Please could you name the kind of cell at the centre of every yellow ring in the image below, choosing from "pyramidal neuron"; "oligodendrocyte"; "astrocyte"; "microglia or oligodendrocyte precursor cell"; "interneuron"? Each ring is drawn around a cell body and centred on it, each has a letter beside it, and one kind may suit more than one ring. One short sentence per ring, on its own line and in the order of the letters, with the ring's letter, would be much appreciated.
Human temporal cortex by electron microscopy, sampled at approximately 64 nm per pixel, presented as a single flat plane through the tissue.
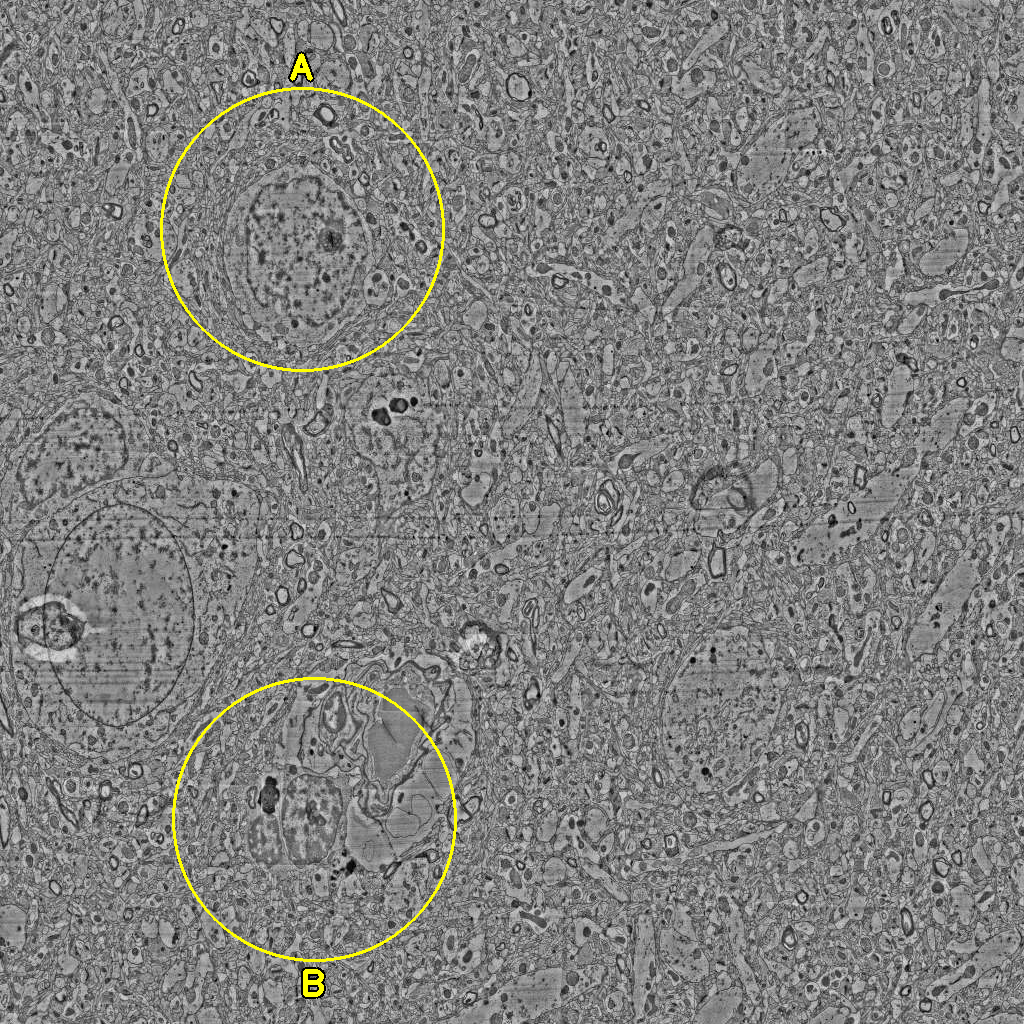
The cell in the middle of ring A is an interneuron.
The cell in the middle of ring B is an oligodendrocyte.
